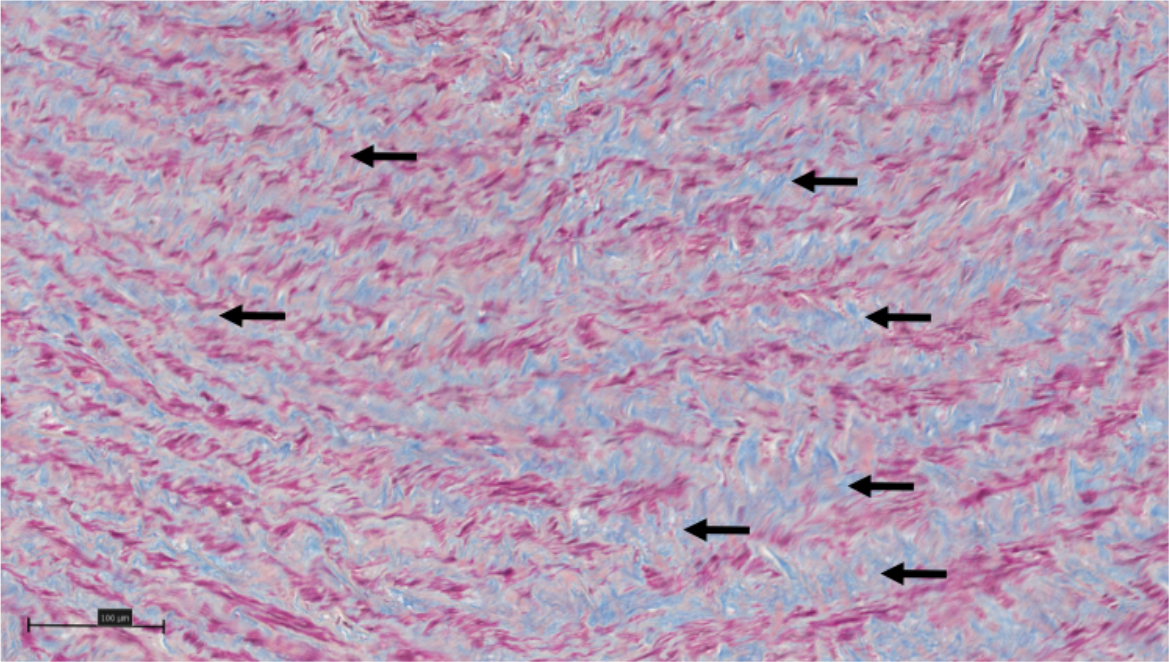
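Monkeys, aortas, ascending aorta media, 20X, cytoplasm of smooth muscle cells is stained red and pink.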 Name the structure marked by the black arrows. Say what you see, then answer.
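Collagen. The arrows point to blue-stained fibrous material. The blue material lies between elongated red-pink cells. The blue material is wavy and fibrillar, without nuclei.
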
